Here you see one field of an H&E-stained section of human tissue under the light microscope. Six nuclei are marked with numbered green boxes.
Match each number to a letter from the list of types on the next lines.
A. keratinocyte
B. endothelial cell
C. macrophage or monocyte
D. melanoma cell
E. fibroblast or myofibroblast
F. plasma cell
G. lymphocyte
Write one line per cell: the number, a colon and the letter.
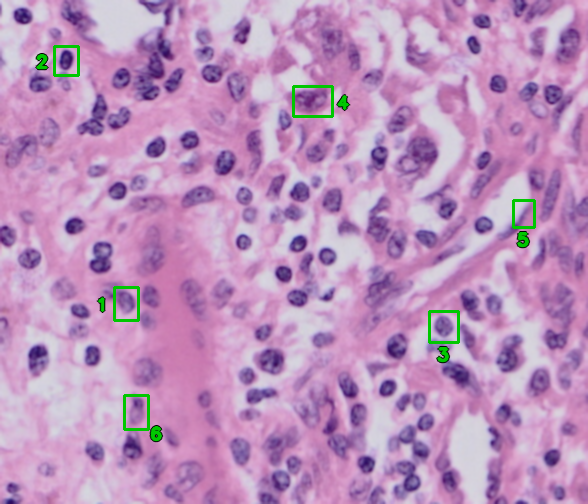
1: G
2: G
3: G
4: D
5: B
6: C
